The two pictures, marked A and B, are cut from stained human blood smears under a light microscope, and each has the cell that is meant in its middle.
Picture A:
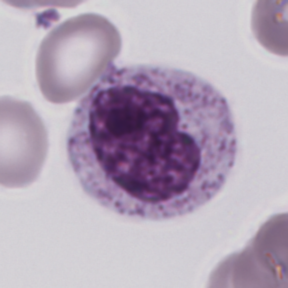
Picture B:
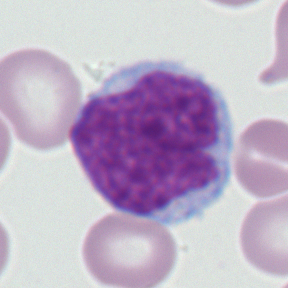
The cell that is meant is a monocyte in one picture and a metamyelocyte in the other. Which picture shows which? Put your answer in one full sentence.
In picture A the cell is a metamyelocyte; in picture B, a monocyte.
